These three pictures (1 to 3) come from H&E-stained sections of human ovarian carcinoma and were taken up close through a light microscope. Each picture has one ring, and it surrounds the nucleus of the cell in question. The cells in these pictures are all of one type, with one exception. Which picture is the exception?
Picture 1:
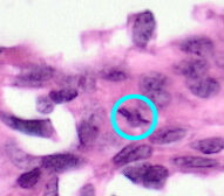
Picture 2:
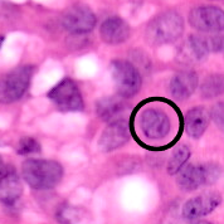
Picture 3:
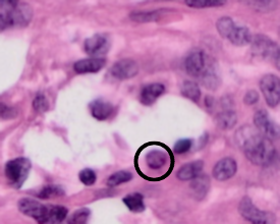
3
